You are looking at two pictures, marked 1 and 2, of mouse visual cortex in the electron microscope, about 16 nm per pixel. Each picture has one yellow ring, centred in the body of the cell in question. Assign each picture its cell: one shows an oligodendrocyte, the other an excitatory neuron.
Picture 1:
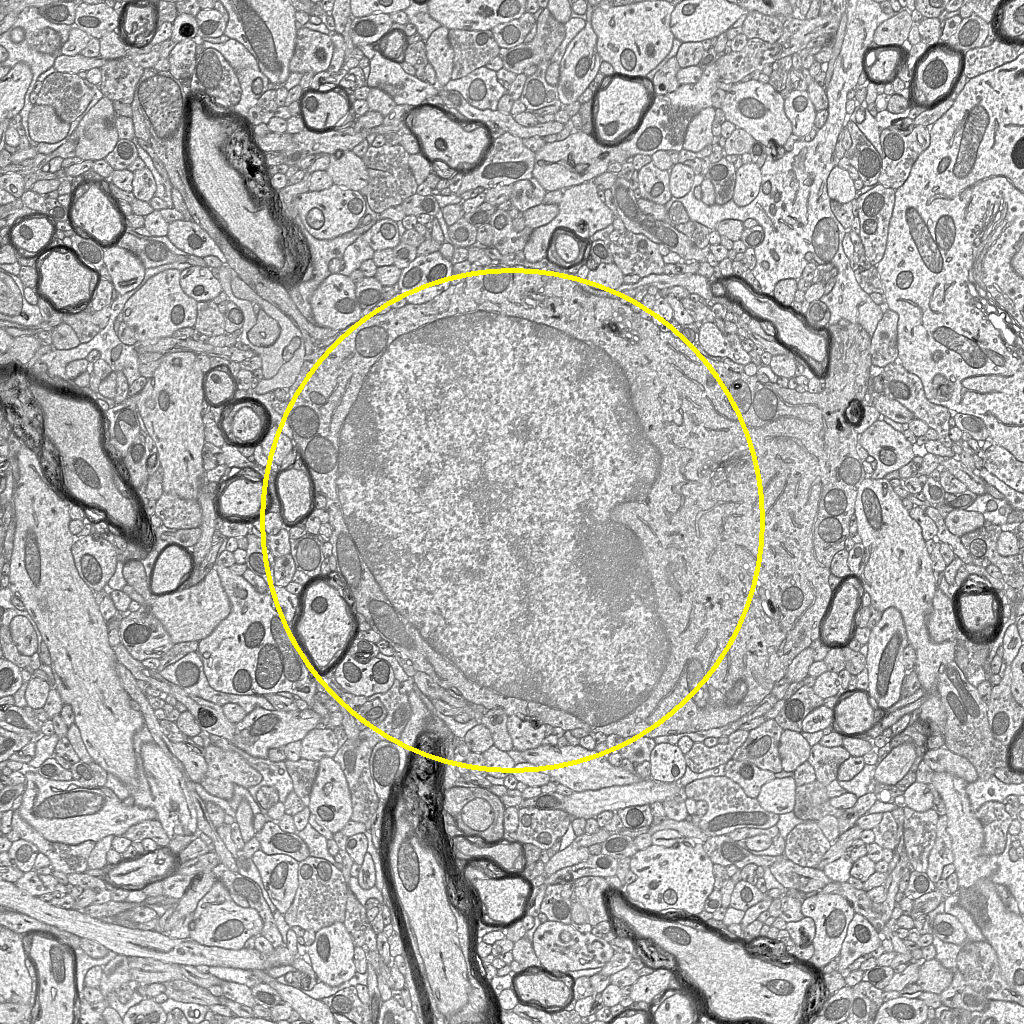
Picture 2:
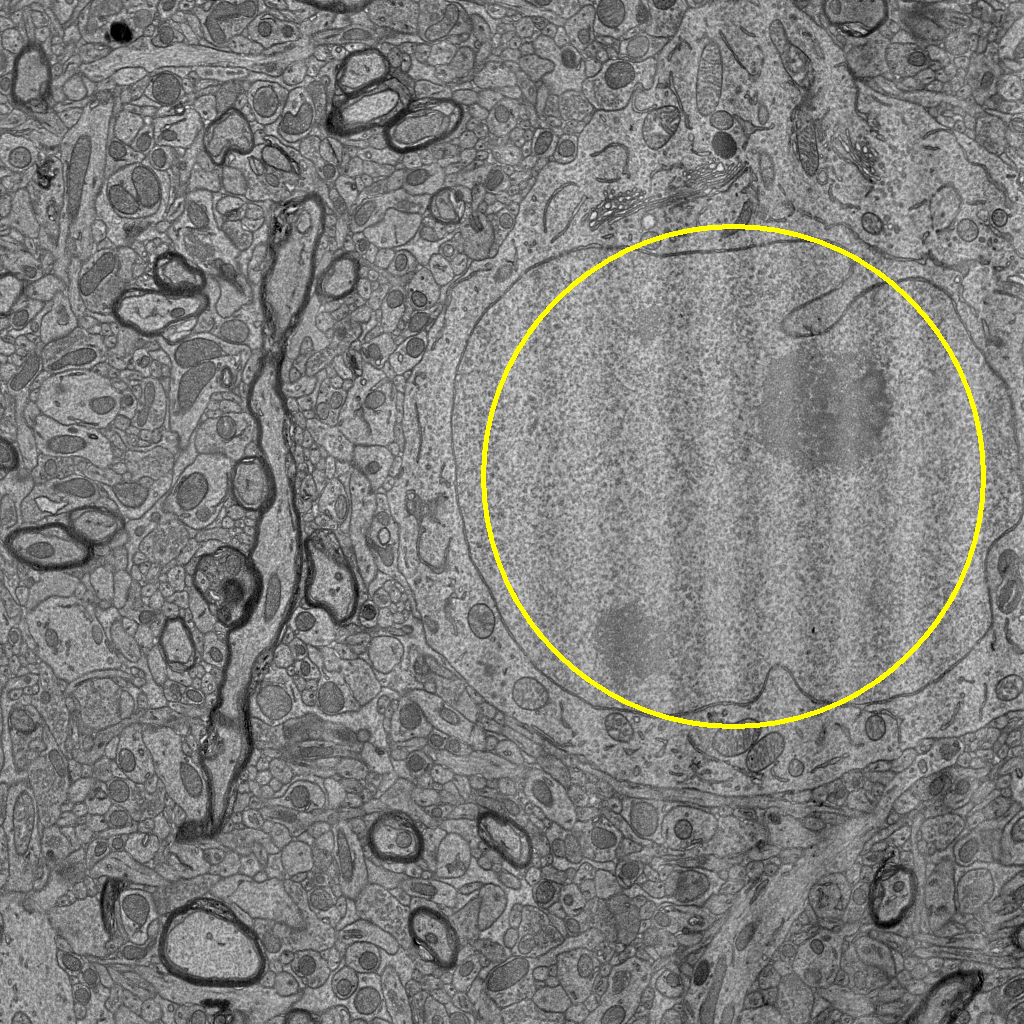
Picture 2 shows an excitatory neuron, while picture 1 shows an oligodendrocyte.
